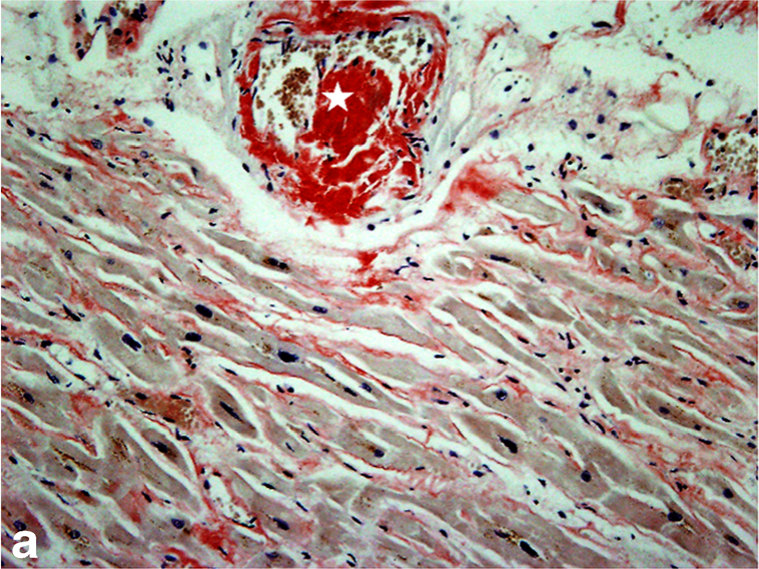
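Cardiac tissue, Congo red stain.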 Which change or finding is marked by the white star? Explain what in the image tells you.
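The star lies inside a round vessel-like structure at the top of the field. The vessel wall and lumen region are filled with dense, homogeneous red material. Red blood cells lie beside the red material within the vessel.
Conclusion: vascular involvement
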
